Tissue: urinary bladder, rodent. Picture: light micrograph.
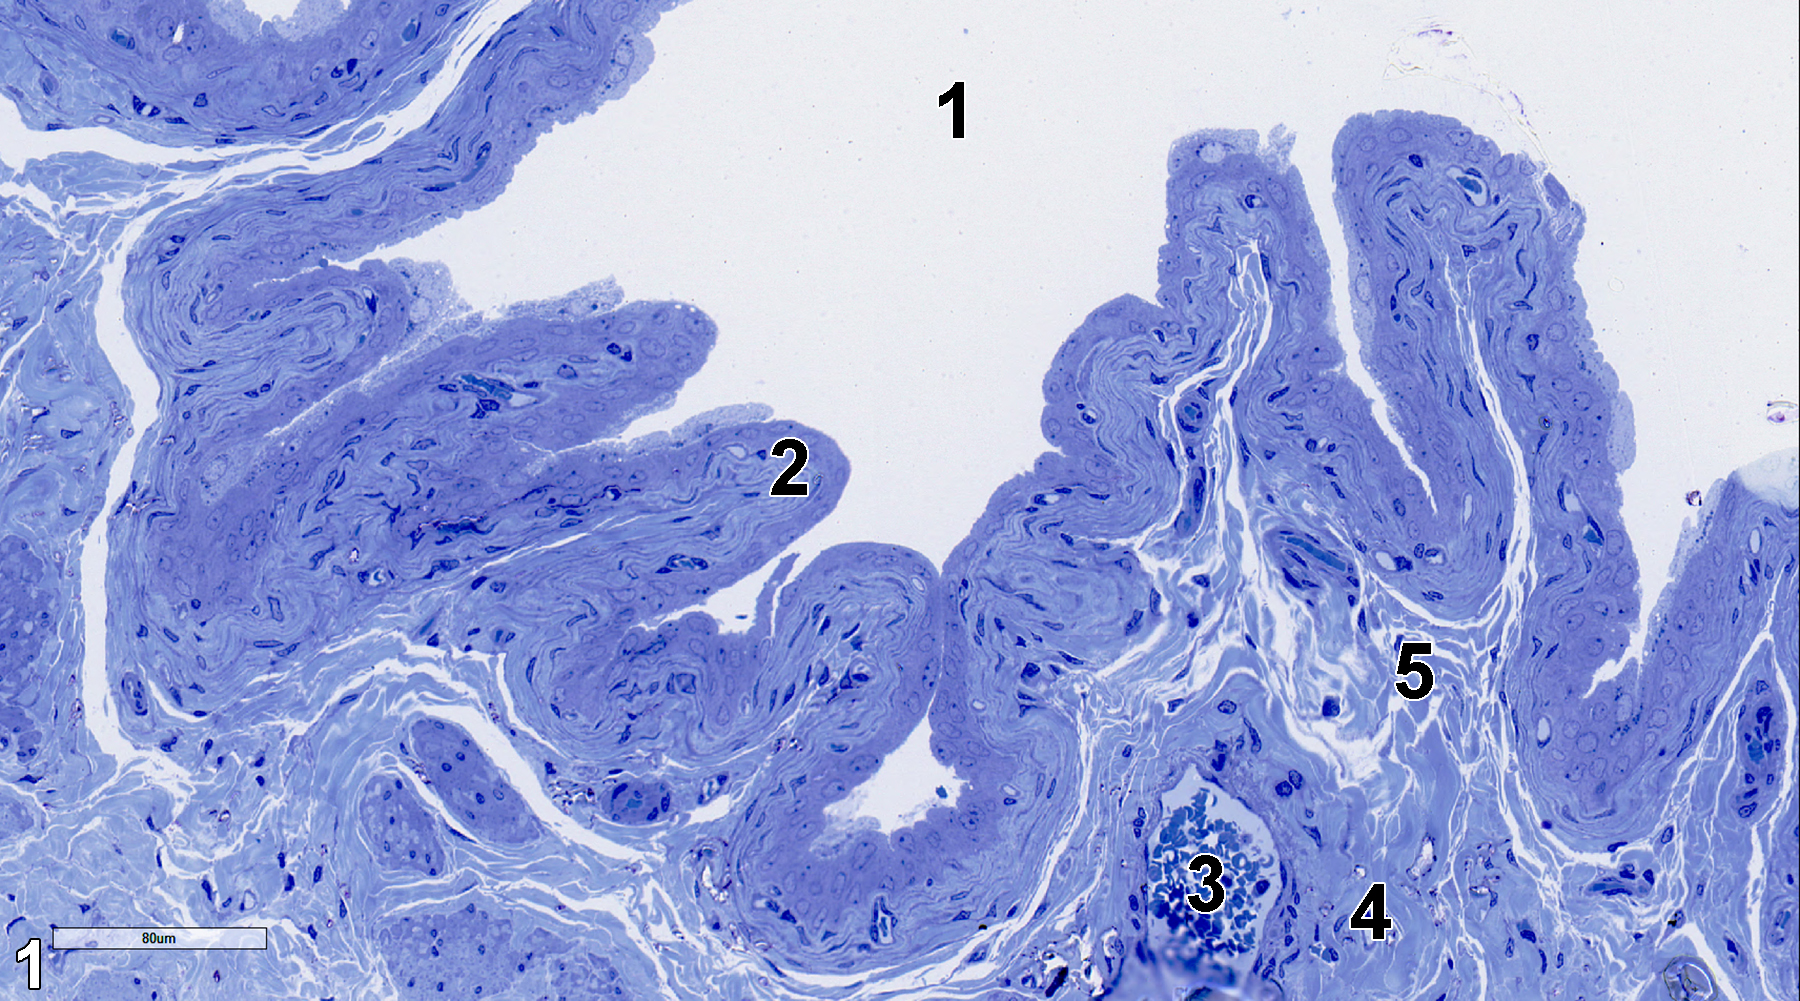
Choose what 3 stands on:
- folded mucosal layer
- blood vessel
blood vessel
